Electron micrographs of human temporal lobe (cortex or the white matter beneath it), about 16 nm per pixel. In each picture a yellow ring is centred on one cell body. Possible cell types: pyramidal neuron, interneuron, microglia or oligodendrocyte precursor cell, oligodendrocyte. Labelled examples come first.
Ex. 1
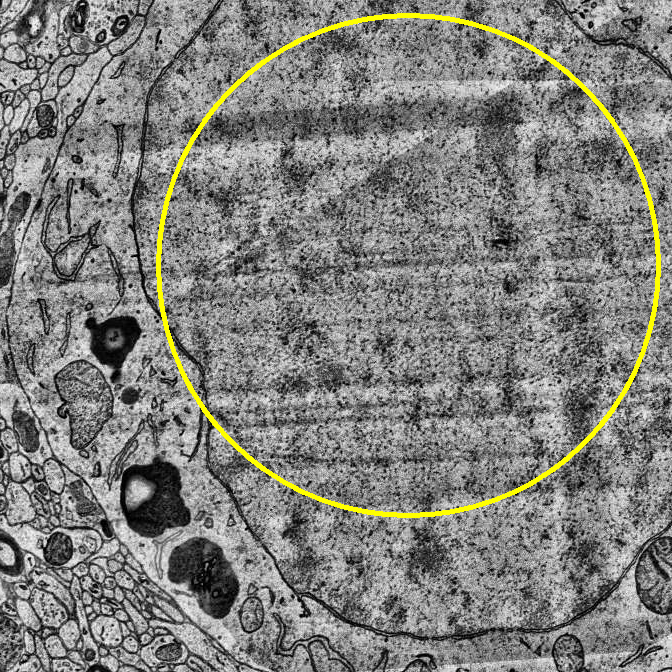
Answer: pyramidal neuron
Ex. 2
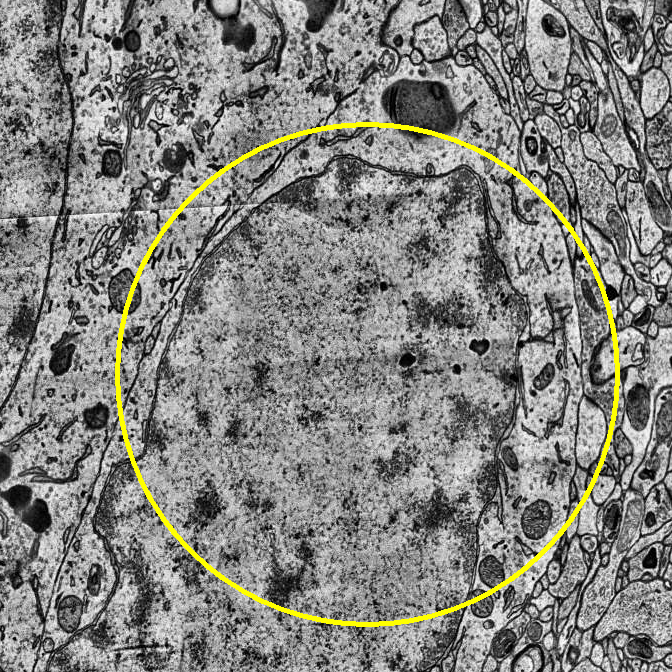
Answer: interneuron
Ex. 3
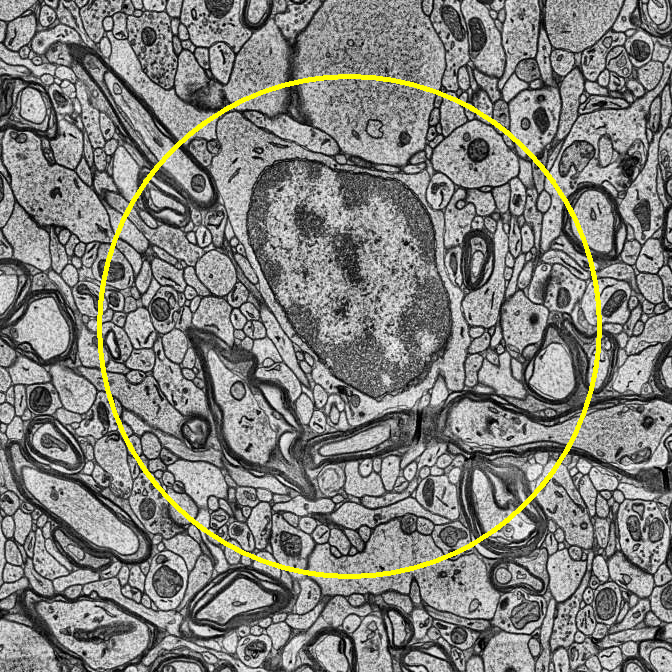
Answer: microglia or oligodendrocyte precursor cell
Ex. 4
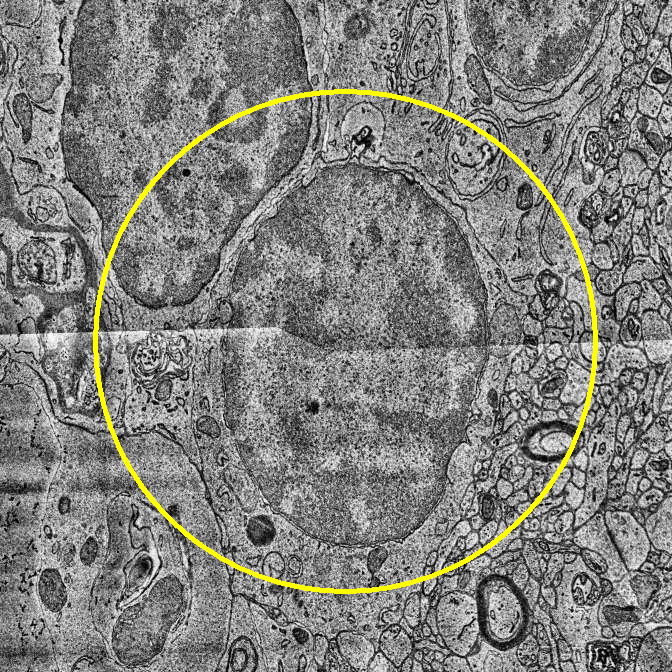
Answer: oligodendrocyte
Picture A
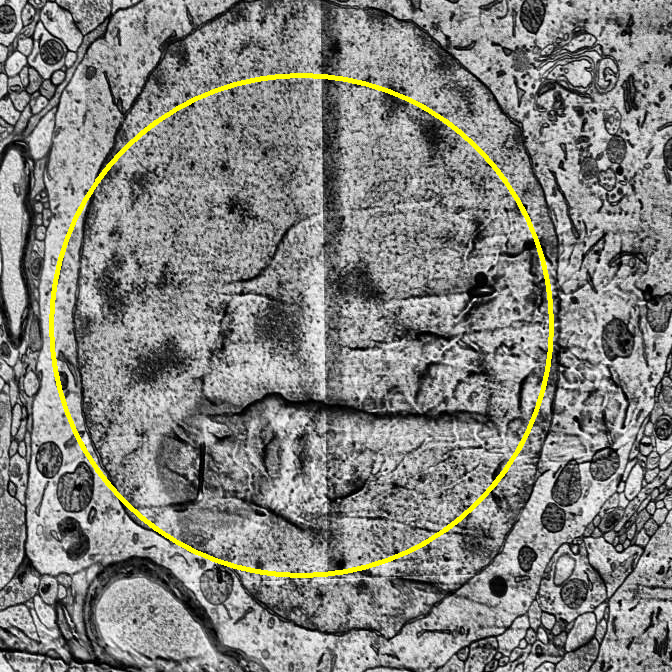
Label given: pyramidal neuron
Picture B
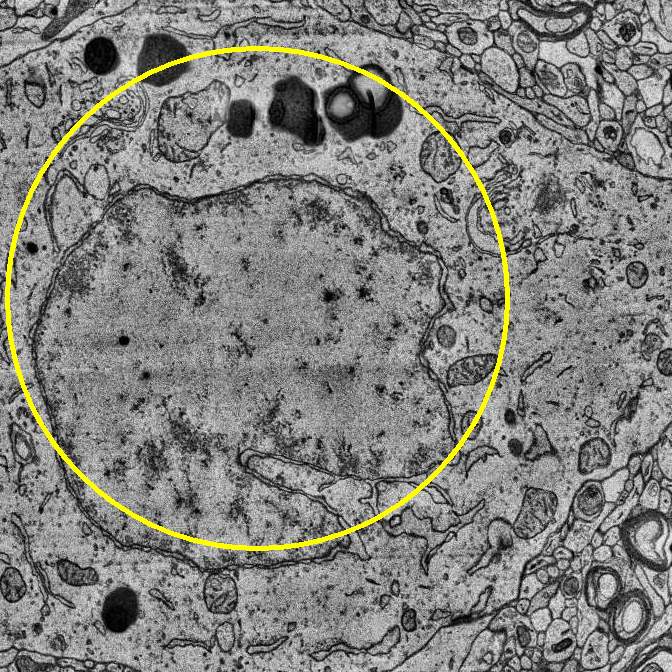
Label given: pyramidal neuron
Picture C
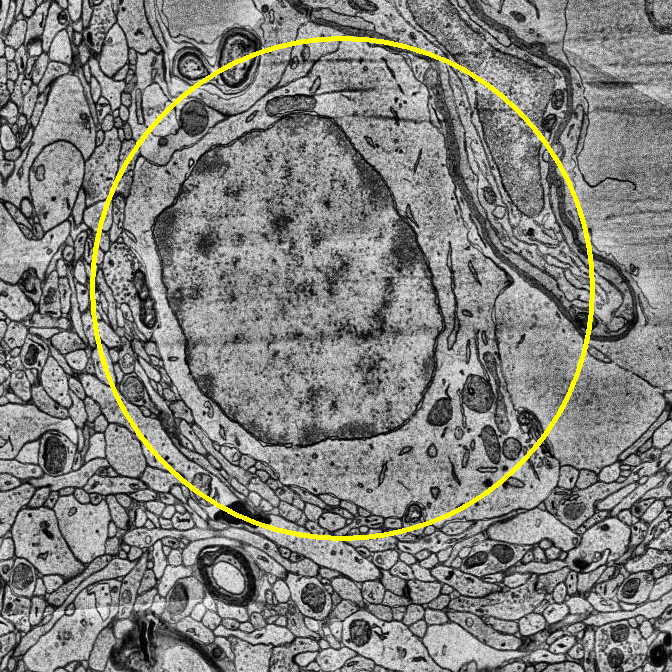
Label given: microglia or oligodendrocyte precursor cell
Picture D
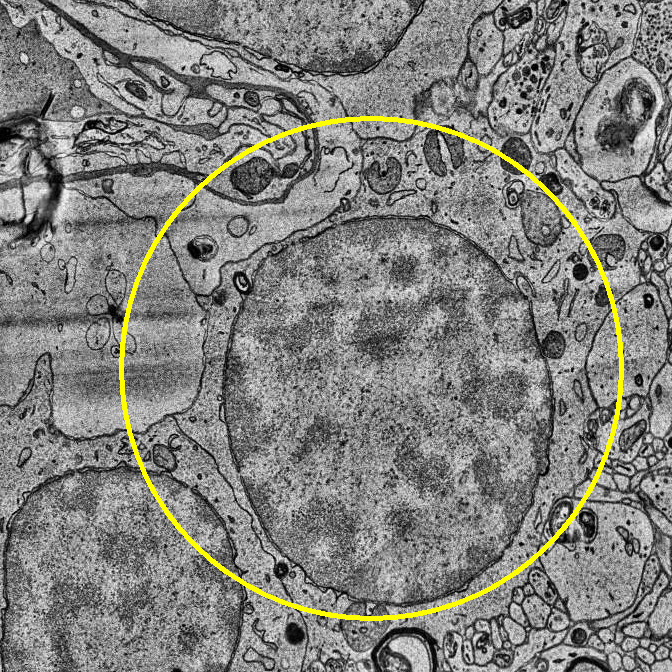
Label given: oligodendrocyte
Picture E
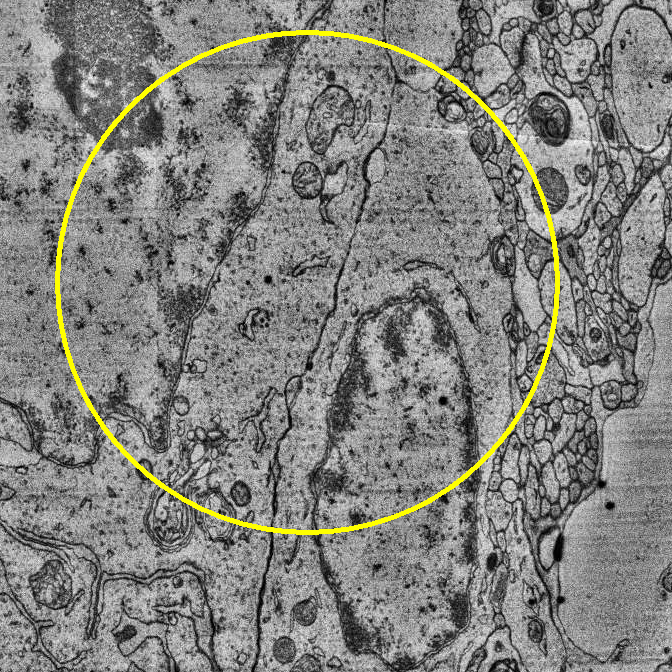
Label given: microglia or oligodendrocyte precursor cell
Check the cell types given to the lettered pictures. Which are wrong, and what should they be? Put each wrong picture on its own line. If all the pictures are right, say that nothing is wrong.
Nothing to fix; every label fits.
